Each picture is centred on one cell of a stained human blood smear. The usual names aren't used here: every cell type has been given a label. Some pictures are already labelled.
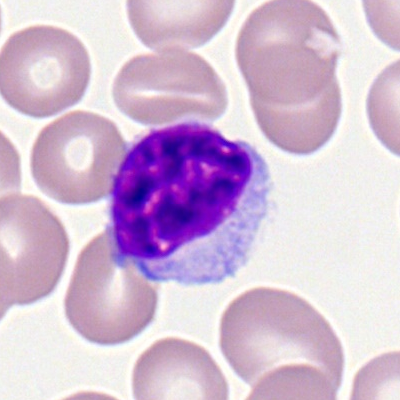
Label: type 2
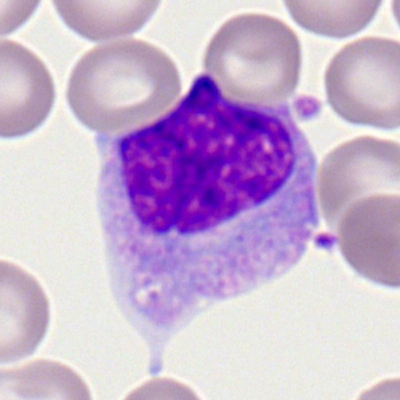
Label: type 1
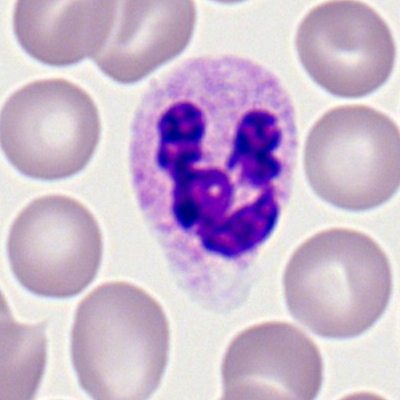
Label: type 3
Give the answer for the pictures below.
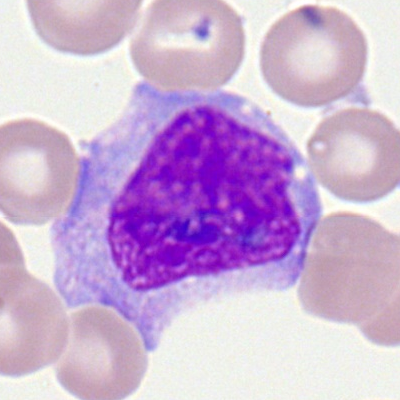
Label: type 1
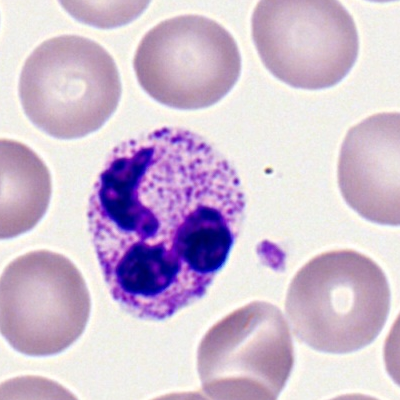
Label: type 3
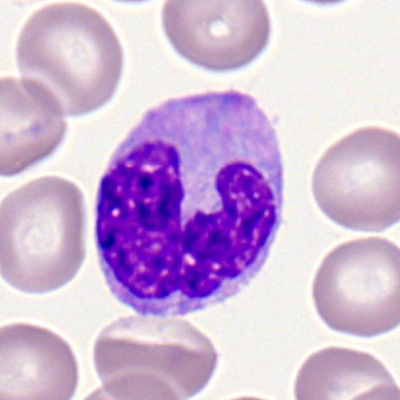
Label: type 1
